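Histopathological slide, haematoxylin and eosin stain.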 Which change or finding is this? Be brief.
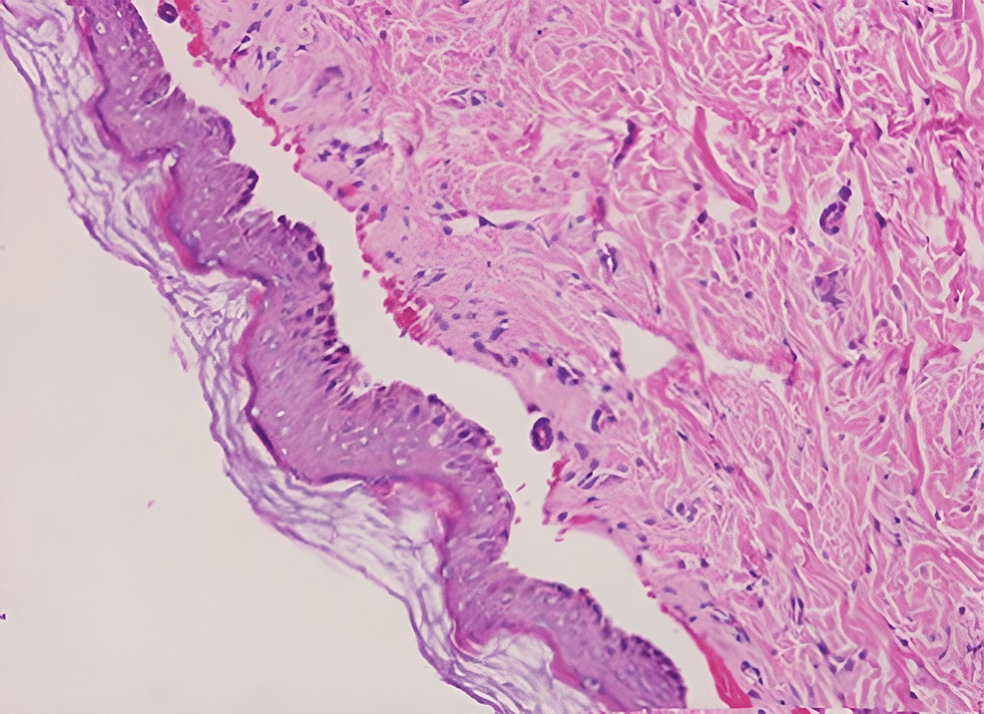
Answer: Clefting and blister formation.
